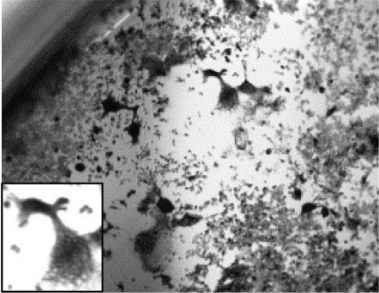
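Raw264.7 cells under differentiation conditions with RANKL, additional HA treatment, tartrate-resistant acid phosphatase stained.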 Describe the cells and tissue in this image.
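Among many small dark speckles and granular debris on a pale background, there are several very large, darkly stained cells. They spread flat with irregular outlines and branching extensions, and one is shown enlarged in the inset. These large stained cells are osteoclasts that formed in the culture.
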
